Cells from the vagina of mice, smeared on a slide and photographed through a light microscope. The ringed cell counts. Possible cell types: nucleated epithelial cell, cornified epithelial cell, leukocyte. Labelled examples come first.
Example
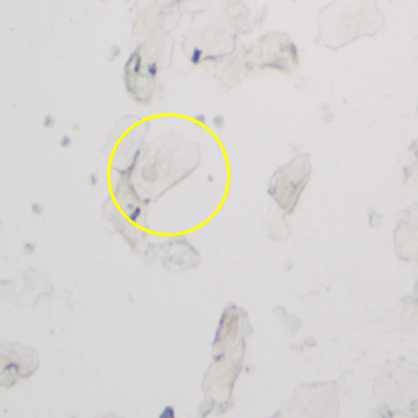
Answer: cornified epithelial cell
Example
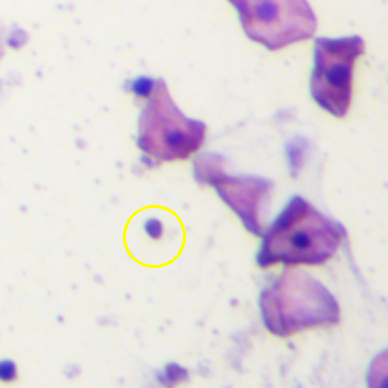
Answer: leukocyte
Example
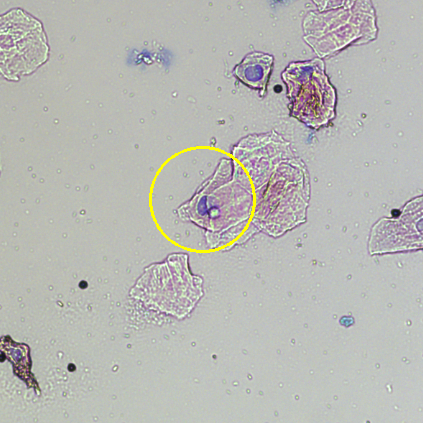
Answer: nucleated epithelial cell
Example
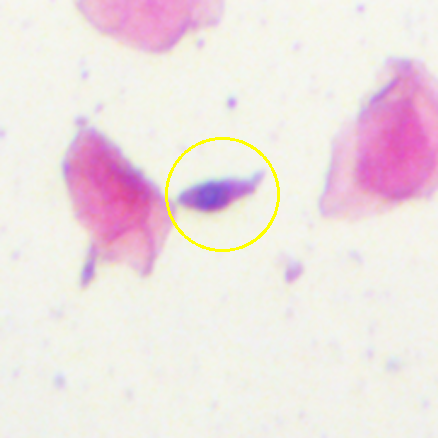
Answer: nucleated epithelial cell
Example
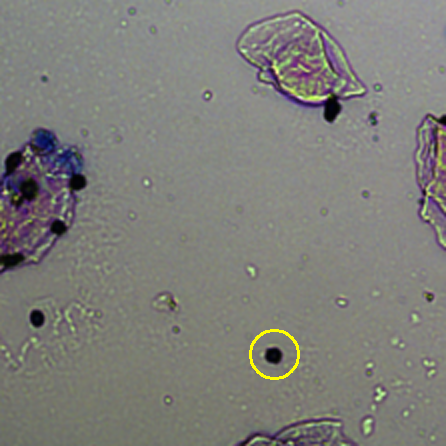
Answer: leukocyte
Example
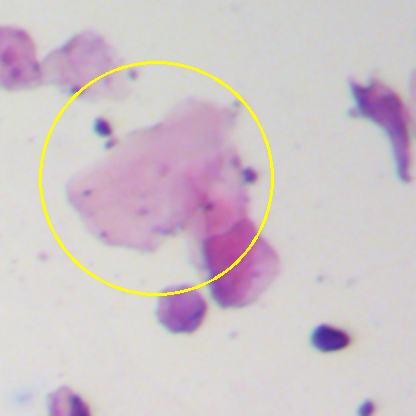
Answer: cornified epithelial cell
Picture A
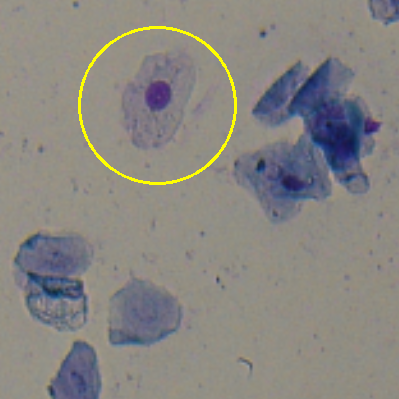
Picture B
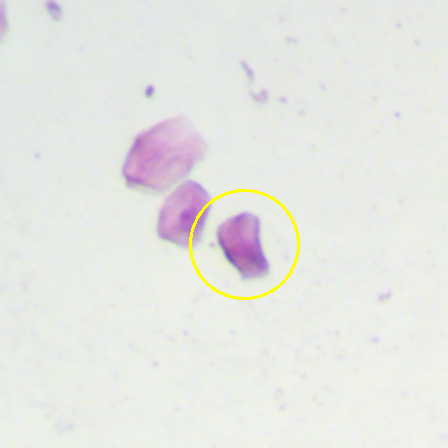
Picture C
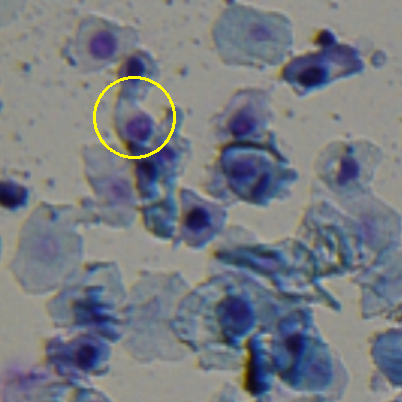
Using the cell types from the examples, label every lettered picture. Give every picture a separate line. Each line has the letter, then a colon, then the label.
A: nucleated epithelial cell
B: cornified epithelial cell
C: nucleated epithelial cell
